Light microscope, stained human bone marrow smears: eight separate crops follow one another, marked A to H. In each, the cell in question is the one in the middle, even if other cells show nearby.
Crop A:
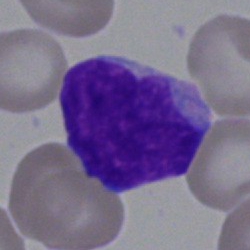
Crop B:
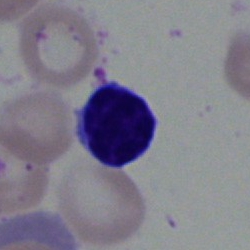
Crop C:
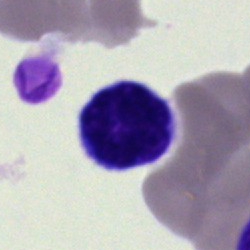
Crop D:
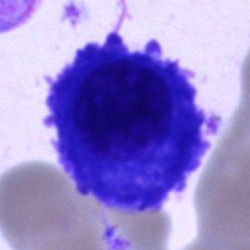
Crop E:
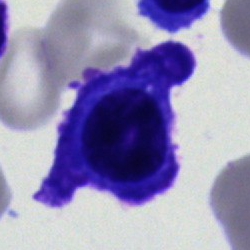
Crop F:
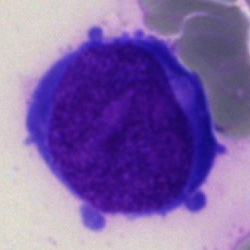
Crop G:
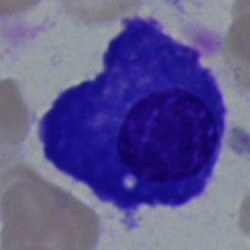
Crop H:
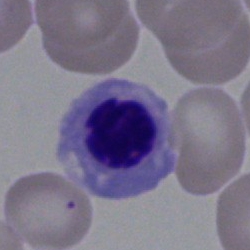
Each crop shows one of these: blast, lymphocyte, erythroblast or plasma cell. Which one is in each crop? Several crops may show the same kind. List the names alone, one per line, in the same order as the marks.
blast
lymphocyte
lymphocyte
plasma cell
plasma cell
blast
plasma cell
erythroblast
